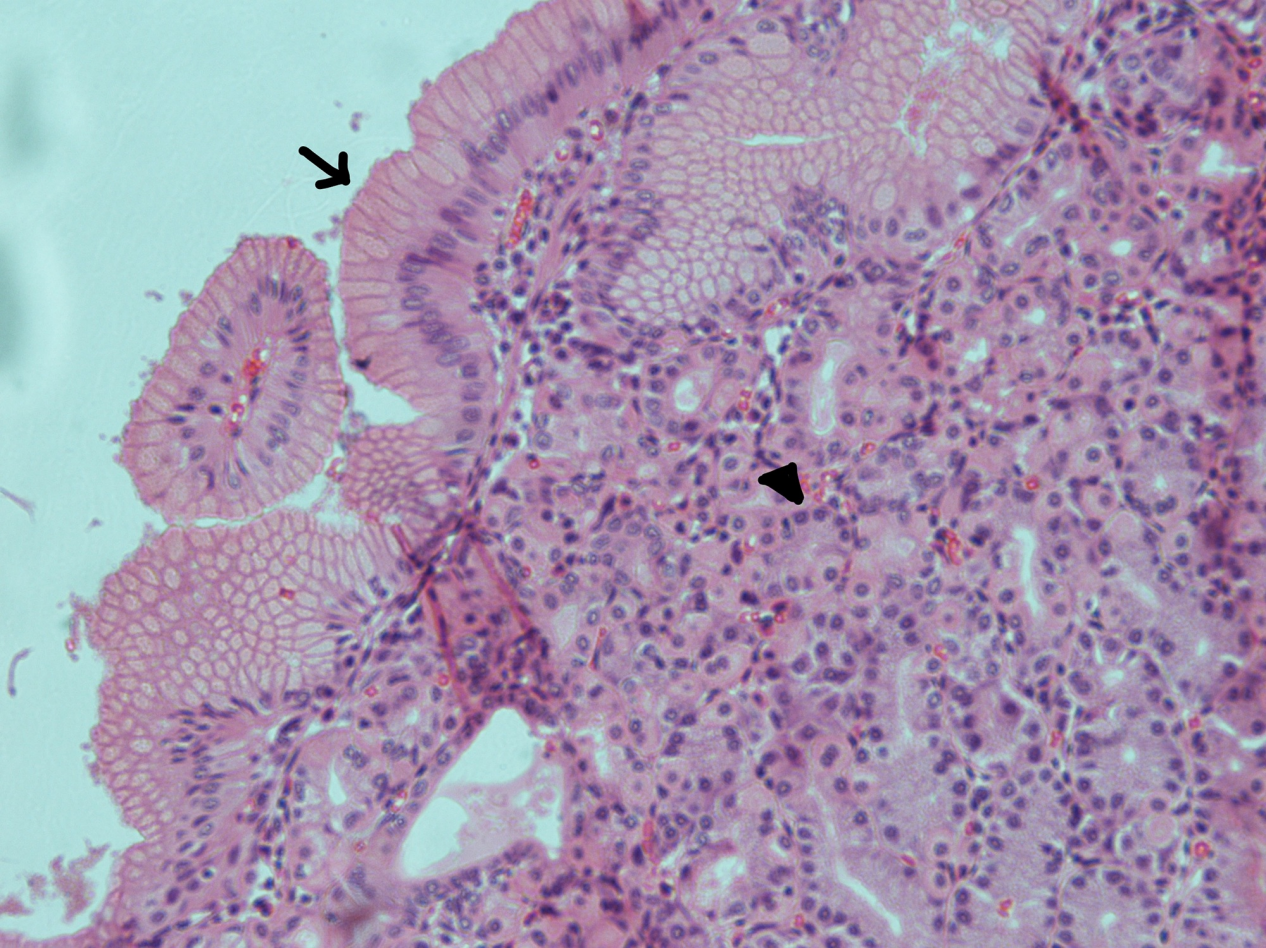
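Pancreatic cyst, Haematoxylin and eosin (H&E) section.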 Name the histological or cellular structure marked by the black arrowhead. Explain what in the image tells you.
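Tightly packed glands lie beneath the surface lining. The gland cells have round central nuclei and pink, granular cytoplasm. Small lumens are visible between the gland cells. That points to this answer: gastric gland.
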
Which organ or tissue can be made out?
Gastric epithelial lining.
